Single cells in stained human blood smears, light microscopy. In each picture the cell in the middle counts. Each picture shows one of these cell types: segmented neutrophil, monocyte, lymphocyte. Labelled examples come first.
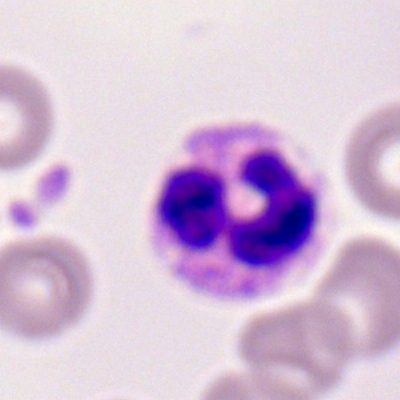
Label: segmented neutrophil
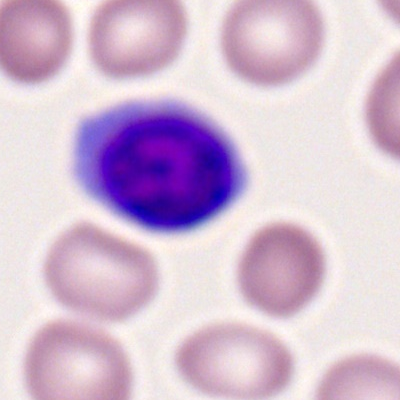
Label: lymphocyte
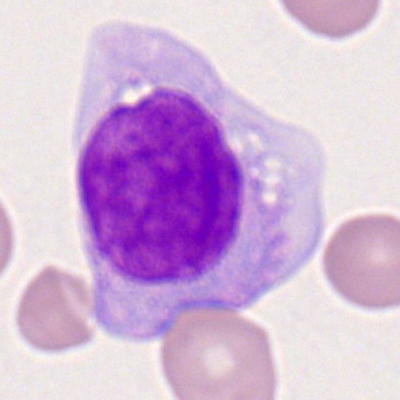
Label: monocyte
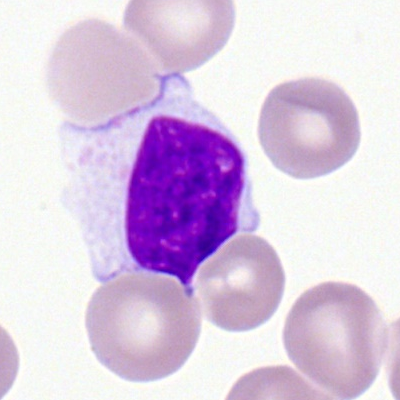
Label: lymphocyte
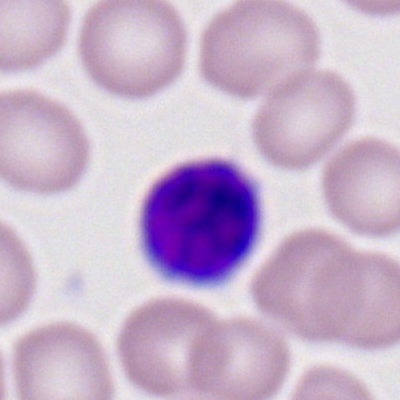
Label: lymphocyte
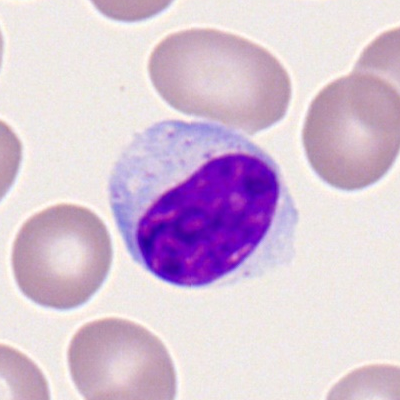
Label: lymphocyte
